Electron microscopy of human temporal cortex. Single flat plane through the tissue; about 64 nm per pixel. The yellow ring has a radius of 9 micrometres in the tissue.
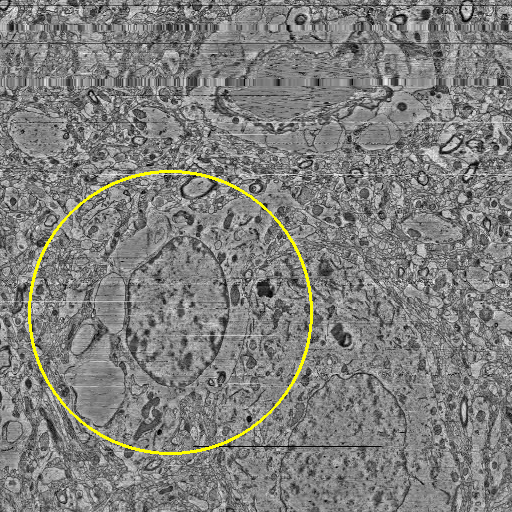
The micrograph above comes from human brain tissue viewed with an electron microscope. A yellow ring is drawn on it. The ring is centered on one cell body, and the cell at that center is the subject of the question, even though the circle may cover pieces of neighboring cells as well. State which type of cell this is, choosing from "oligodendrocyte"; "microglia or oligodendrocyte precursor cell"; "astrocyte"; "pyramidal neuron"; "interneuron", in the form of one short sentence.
The cell the ring is centered on is an astrocyte.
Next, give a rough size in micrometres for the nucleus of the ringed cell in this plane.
The nucleus is approximately 10 micrometres long but only about 7 wide, clearly longer than it is wide in this plane.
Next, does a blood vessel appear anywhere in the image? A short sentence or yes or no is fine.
Yes, one shows.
